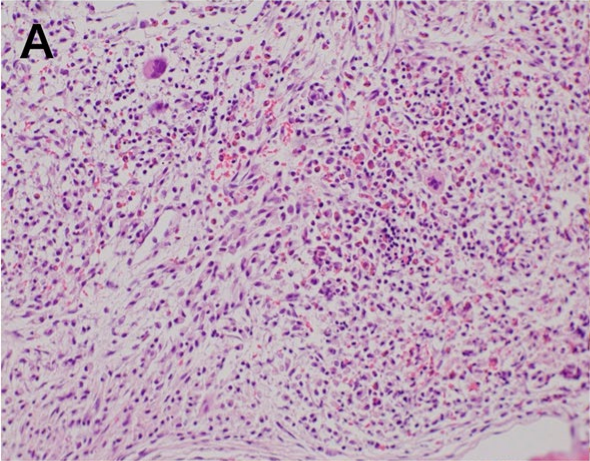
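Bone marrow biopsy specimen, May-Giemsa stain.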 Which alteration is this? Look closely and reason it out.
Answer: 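Sheets of spindle-shaped cells with oval nuclei and pale cytoplasm fill much of the field. That points to this answer: marked infiltration by mast cells.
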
